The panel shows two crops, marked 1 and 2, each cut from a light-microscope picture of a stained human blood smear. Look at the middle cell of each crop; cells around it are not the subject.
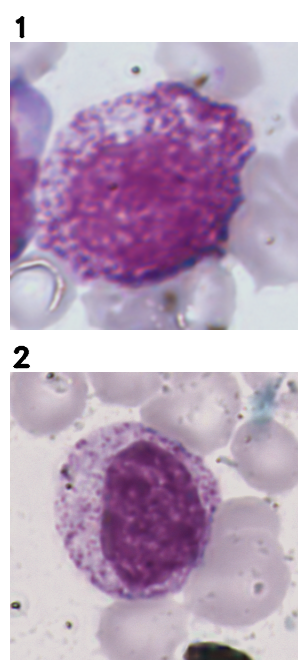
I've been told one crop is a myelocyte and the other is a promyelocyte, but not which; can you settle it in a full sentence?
Crop 1 is a promyelocyte, whereas a myelocyte is found in crop 2.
